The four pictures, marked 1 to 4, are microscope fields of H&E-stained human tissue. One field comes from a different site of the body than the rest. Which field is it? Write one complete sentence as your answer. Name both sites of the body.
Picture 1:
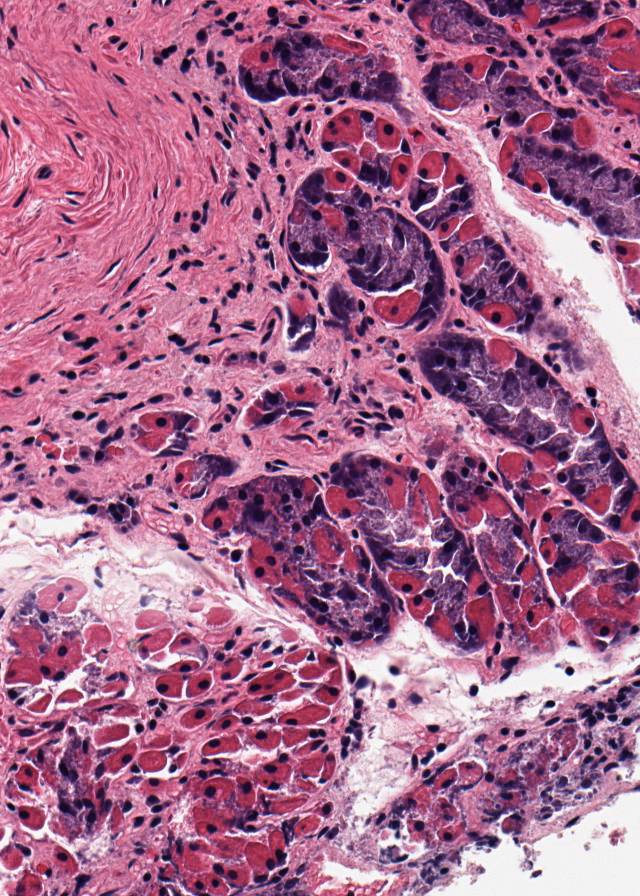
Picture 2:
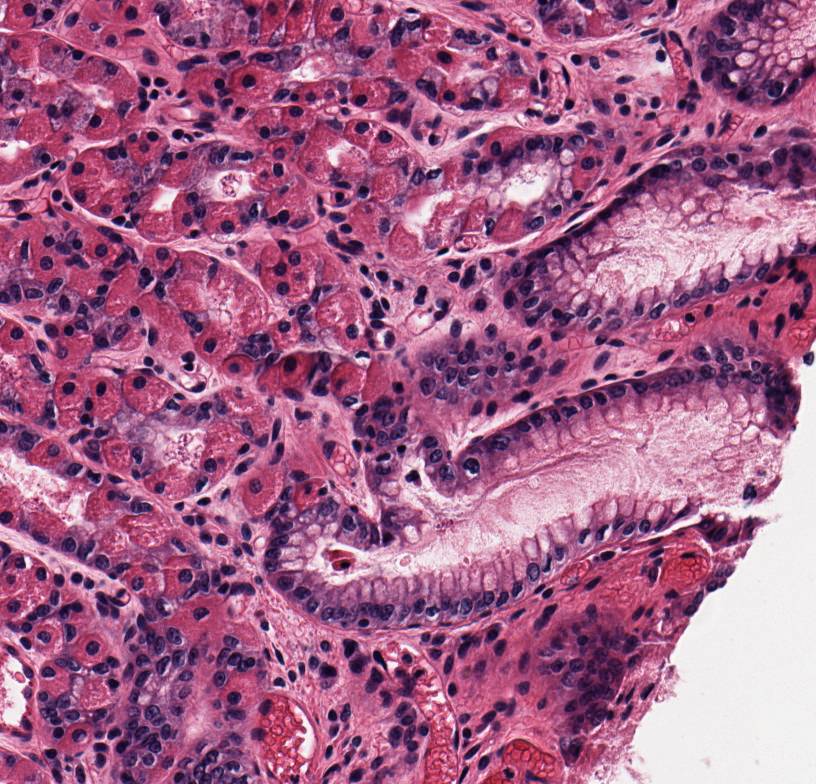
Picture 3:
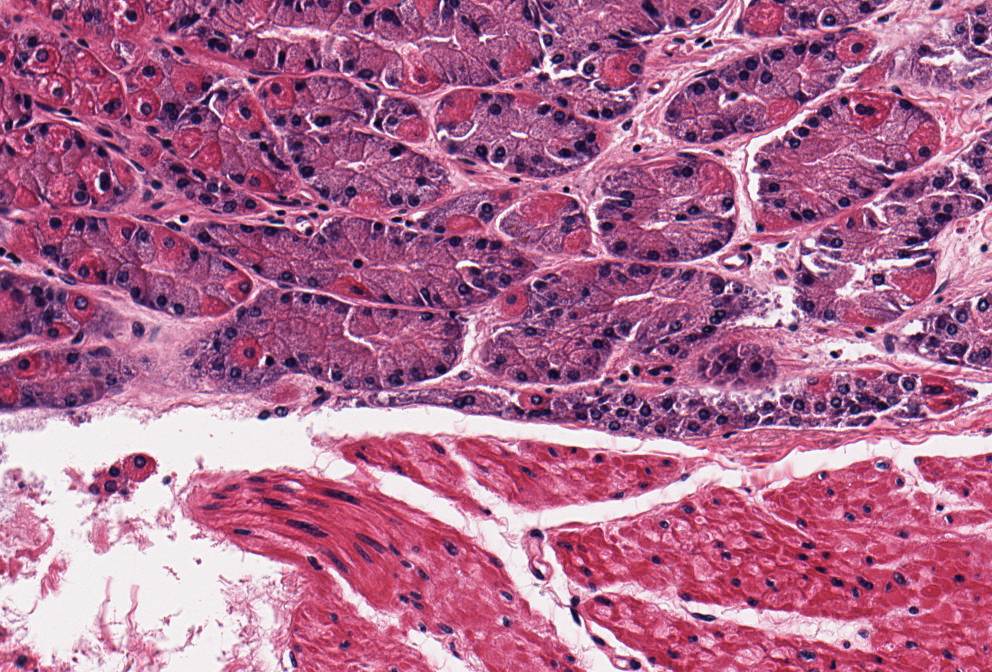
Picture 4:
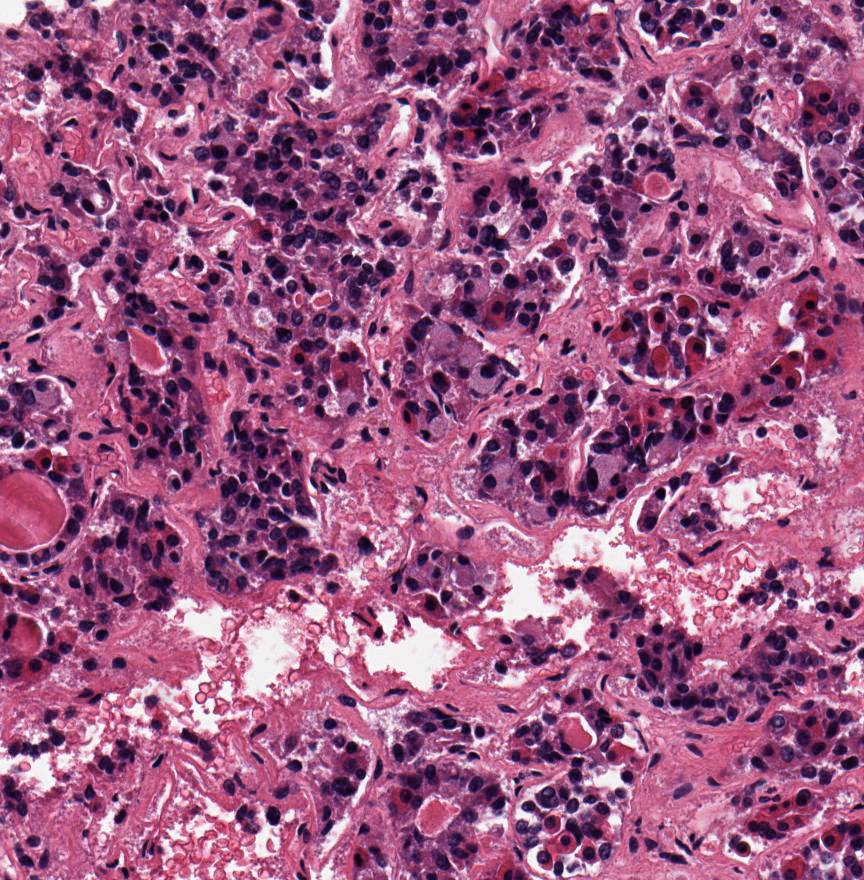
Unlike the rest, which come from the stomach, picture 4 comes from the pituitary.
